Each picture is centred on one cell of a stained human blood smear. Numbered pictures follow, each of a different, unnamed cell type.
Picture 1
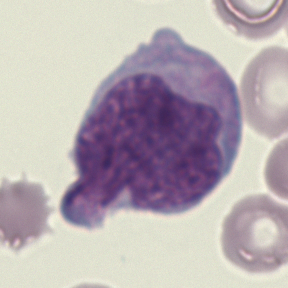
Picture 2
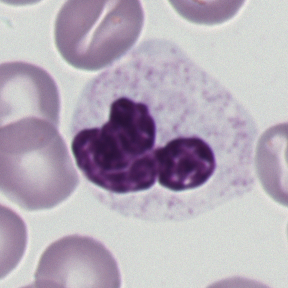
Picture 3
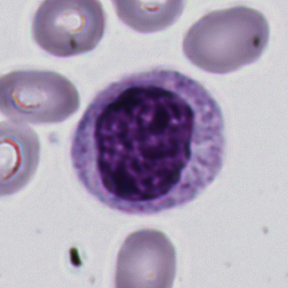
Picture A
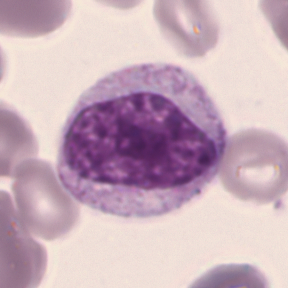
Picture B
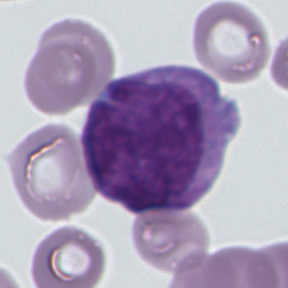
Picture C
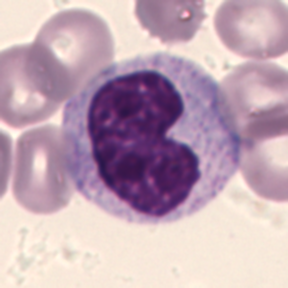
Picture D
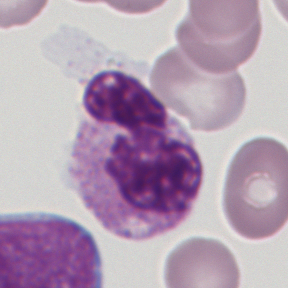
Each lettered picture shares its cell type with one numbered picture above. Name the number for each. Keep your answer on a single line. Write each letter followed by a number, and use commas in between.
A 3, B 1, C 3, D 2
